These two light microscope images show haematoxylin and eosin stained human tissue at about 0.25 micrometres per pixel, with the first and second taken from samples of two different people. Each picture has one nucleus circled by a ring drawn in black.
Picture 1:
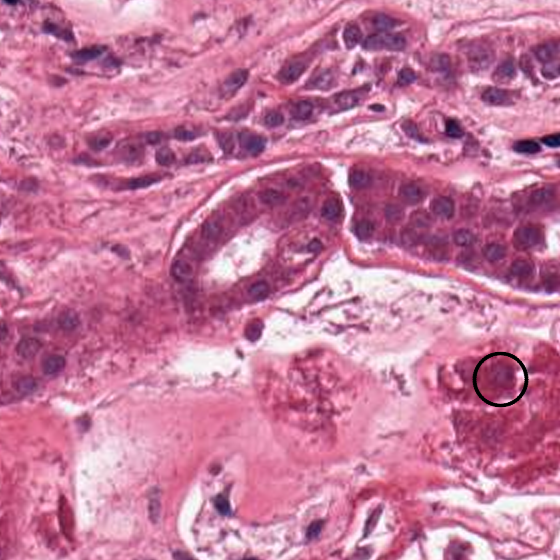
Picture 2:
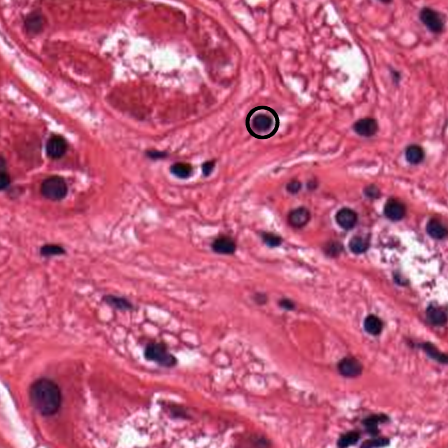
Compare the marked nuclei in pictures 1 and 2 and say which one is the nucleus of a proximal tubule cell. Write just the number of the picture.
1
